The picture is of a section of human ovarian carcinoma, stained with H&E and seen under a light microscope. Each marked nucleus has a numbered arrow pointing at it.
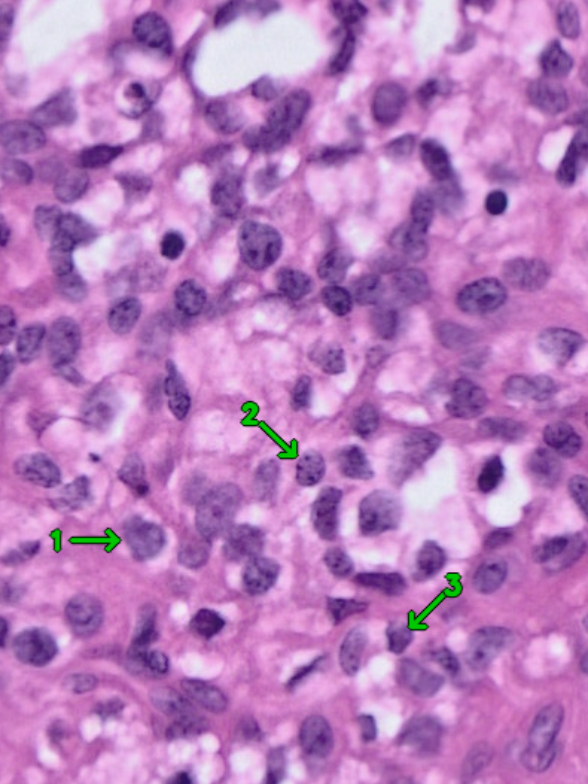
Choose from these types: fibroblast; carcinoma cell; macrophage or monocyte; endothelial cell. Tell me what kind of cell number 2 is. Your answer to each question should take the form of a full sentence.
The one labeled 2 is a macrophage or monocyte, to put it simply.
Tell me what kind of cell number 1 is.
Number 1 is placed on a carcinoma cell here.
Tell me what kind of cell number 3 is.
The cell referenced by the number 3 is a macrophage or monocyte in this field.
